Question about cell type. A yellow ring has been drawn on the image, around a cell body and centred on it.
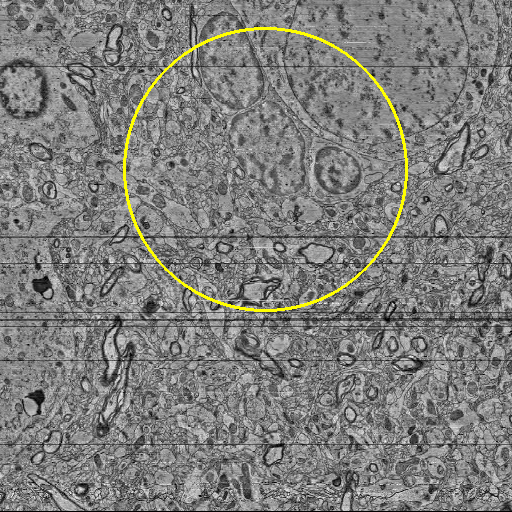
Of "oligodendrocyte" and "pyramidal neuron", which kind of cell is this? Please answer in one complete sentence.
At the centre of the ring lies an oligodendrocyte.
